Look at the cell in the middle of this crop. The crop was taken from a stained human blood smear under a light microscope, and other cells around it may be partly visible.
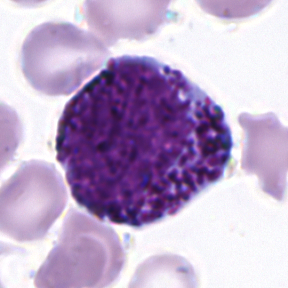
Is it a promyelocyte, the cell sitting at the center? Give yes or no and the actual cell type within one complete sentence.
No, the central cell isn't a promyelocyte, but a basophil.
